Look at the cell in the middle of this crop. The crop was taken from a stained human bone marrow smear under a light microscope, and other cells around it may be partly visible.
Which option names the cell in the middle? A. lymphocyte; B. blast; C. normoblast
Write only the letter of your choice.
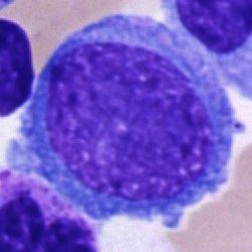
B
